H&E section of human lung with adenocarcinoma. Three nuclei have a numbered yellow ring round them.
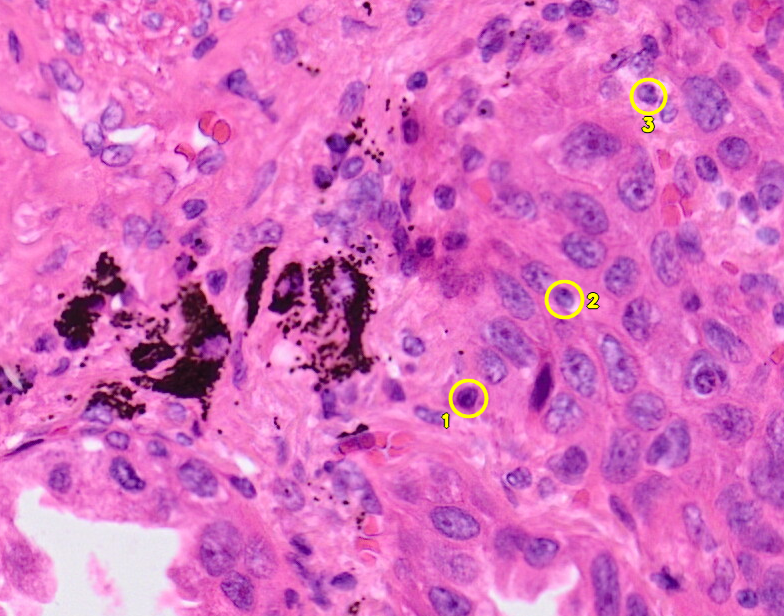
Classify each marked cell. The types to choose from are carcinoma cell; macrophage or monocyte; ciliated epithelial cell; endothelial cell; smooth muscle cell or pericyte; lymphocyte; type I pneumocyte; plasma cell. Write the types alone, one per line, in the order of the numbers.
plasma cell
lymphocyte
lymphocyte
